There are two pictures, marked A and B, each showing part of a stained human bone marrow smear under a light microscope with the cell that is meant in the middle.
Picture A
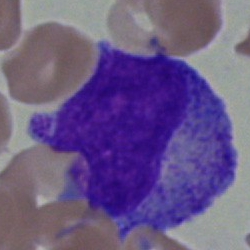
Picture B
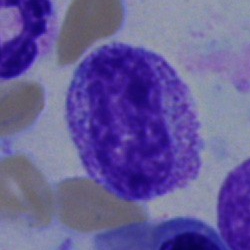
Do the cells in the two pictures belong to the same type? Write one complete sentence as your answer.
Yes, both are myelocytes.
